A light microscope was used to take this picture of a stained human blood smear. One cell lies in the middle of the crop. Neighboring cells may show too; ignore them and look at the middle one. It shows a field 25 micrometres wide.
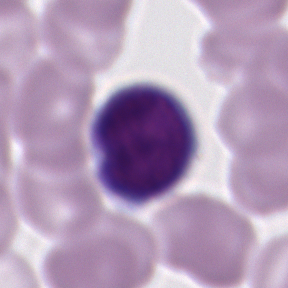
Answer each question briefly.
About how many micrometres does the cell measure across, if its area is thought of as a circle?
10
